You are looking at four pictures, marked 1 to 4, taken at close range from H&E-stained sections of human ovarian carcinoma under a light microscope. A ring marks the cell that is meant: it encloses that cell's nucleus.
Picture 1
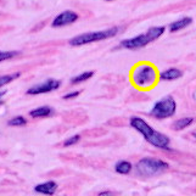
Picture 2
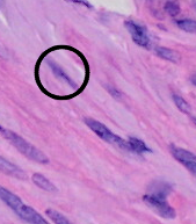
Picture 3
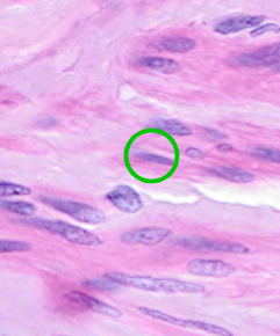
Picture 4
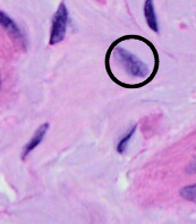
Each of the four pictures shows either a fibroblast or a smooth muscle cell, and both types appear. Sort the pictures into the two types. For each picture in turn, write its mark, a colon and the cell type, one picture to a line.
1: smooth muscle cell
2: smooth muscle cell
3: smooth muscle cell
4: fibroblast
